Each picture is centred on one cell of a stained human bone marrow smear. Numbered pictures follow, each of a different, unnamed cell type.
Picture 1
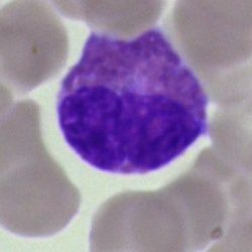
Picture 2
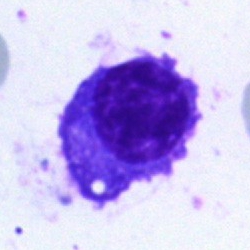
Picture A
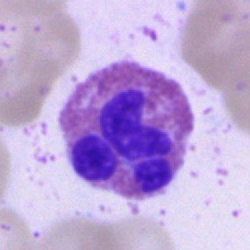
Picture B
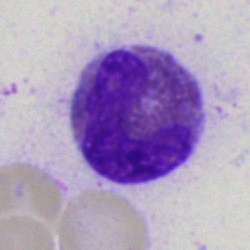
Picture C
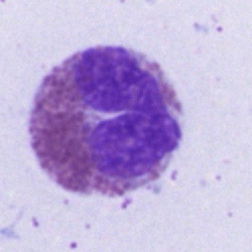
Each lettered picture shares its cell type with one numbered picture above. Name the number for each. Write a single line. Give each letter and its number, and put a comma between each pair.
A 1, B 1, C 1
